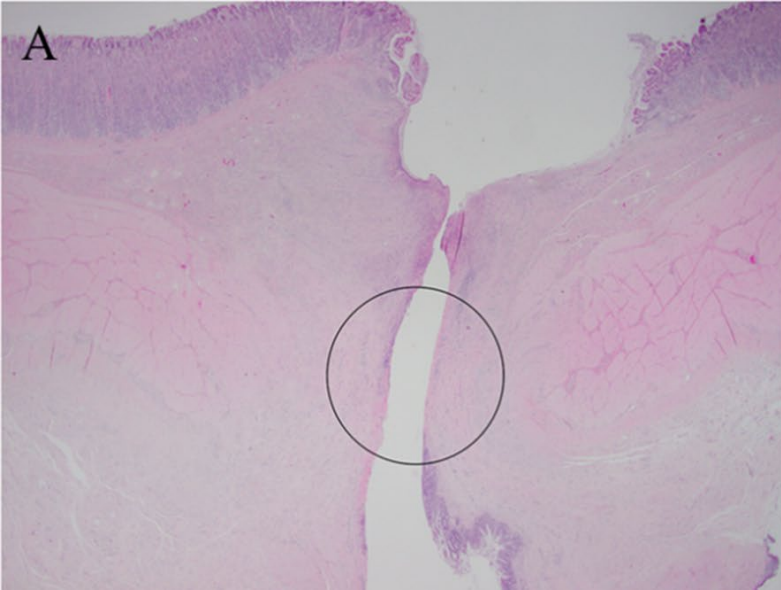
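At low power this is a full-thickness section of wall crossed by a narrow fistula tract. Purple mucosa lines the surfaces at the top and a mucosal surface reappears at the bottom of the tract. Around the circled part of the tract the wall is made of this pale stroma with no organized muscle layer.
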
